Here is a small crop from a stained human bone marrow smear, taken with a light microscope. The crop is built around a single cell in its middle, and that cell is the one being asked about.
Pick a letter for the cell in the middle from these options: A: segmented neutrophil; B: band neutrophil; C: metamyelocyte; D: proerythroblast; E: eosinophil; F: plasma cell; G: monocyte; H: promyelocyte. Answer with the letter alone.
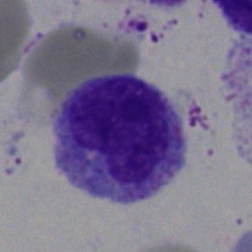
C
